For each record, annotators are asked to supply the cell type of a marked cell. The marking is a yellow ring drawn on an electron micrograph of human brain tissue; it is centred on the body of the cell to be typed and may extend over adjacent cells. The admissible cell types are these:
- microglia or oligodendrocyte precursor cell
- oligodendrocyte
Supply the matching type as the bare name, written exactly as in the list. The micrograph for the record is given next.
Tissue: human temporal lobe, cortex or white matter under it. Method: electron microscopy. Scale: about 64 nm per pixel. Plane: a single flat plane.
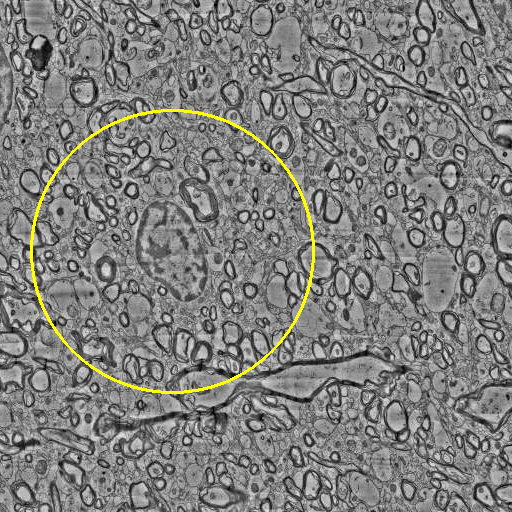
microglia or oligodendrocyte precursor cell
